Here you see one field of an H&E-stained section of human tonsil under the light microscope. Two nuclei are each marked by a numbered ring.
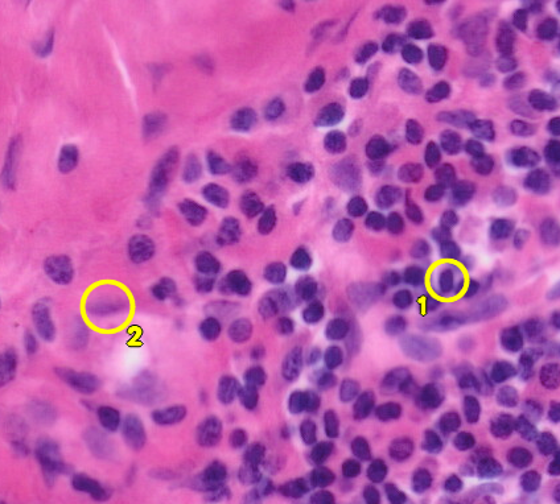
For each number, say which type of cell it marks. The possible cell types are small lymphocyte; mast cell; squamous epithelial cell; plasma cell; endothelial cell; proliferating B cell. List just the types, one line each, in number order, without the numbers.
small lymphocyte
endothelial cell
